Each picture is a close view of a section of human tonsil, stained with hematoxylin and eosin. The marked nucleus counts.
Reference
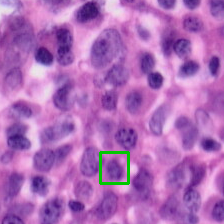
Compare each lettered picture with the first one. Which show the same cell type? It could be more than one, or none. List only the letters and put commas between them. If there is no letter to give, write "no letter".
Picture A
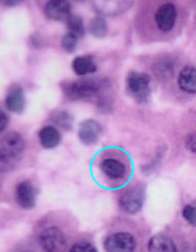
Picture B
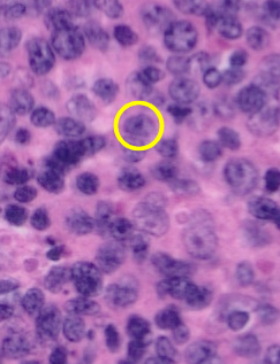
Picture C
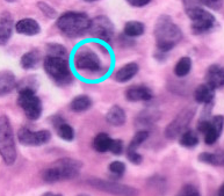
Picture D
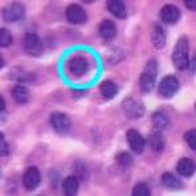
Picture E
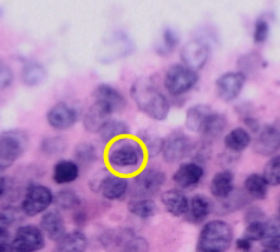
A, D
